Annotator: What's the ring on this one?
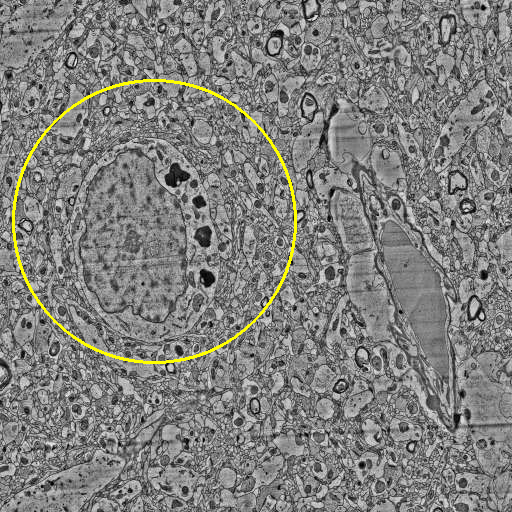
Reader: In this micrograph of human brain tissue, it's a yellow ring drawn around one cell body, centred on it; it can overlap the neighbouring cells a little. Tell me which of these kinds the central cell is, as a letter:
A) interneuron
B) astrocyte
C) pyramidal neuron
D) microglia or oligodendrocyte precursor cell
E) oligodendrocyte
A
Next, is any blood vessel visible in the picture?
Yes, there is a blood vessel in the image.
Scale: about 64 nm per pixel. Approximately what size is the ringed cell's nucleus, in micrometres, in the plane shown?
About 11 by 7 micrometres; in this plane the nucleus is clearly longer than it is wide.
